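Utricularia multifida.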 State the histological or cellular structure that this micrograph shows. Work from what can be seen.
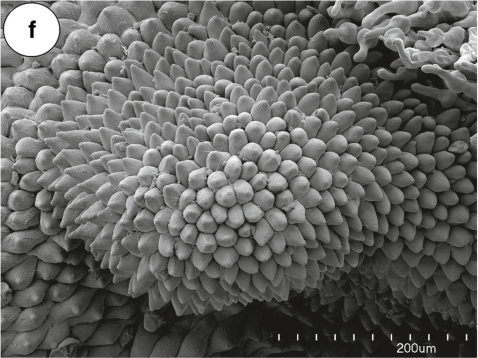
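Papillae. The surface is covered by densely packed rounded, dome-shaped protrusions. Toward the edges the protrusions become more conical and pointed.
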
